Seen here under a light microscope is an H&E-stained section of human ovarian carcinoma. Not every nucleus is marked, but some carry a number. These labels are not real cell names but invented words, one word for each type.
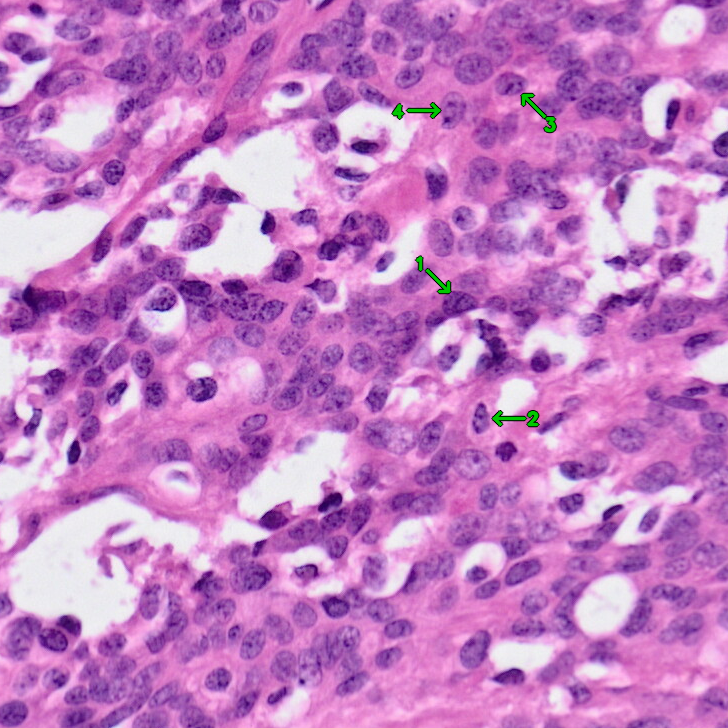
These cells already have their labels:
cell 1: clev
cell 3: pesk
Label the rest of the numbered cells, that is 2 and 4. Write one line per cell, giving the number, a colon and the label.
2: pesk
4: pesk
